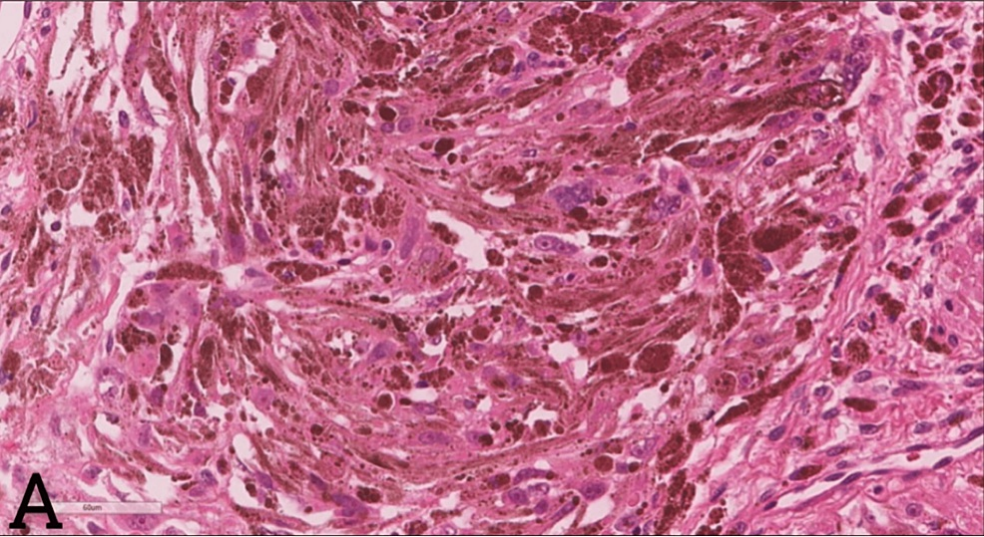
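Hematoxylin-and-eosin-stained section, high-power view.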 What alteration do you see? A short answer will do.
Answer: Heavy melanin deposition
